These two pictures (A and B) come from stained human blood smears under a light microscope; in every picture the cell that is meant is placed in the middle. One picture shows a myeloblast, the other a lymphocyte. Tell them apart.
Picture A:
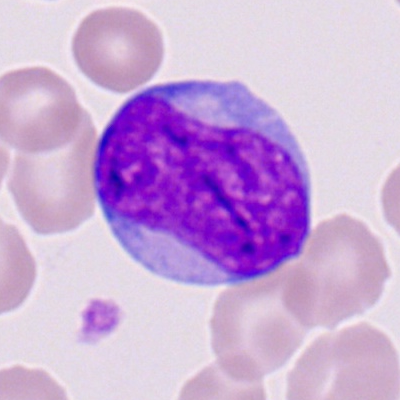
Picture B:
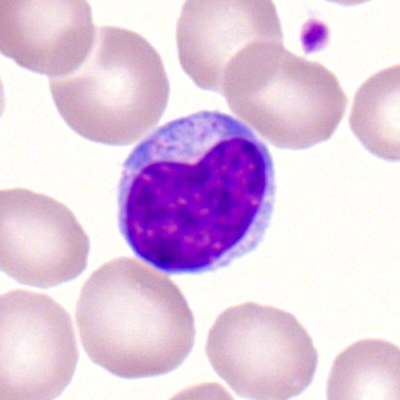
A: myeloblast
B: lymphocyte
